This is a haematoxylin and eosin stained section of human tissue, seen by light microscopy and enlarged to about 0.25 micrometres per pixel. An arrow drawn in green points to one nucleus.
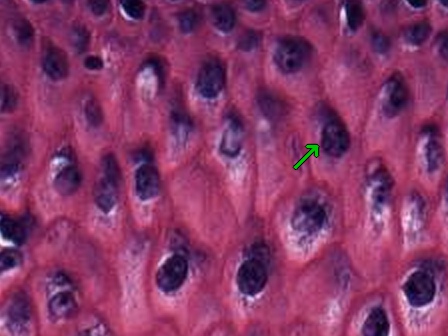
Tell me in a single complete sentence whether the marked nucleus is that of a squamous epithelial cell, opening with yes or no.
Yes, a squamous epithelial cell contains the marked nucleus.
